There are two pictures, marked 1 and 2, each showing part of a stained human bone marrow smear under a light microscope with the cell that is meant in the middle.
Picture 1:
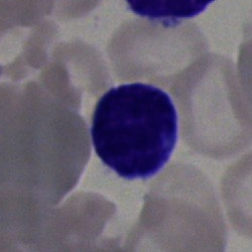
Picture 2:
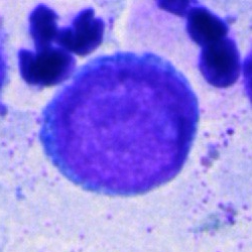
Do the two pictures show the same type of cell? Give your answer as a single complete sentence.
No, they differ: the cell is a lymphocyte in picture 1 and a blast in picture 2.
